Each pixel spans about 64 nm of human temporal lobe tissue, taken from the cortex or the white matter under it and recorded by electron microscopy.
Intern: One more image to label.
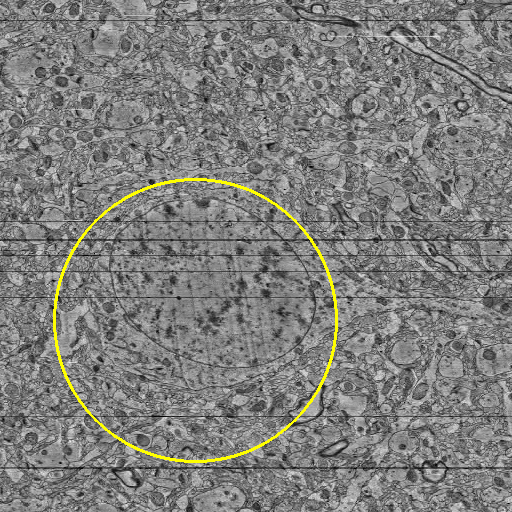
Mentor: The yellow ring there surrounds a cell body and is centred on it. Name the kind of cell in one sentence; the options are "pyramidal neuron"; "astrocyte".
The ring marks the cell body of a pyramidal neuron.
